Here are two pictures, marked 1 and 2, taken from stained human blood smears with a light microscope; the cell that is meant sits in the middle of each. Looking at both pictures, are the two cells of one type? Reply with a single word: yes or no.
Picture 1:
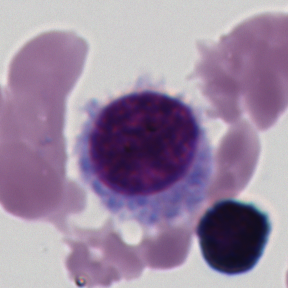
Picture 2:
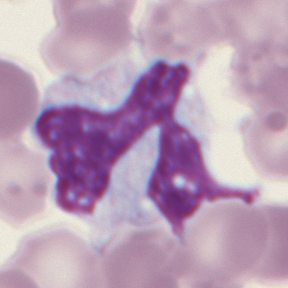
no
